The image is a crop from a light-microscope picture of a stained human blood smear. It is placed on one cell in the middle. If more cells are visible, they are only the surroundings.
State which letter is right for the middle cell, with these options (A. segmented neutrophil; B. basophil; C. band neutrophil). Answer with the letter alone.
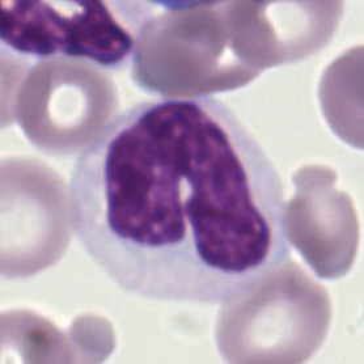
C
